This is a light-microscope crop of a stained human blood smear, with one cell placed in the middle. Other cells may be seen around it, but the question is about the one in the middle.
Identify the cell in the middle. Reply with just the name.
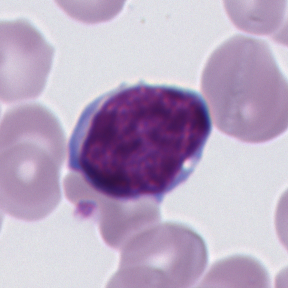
large granular lymphocyte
